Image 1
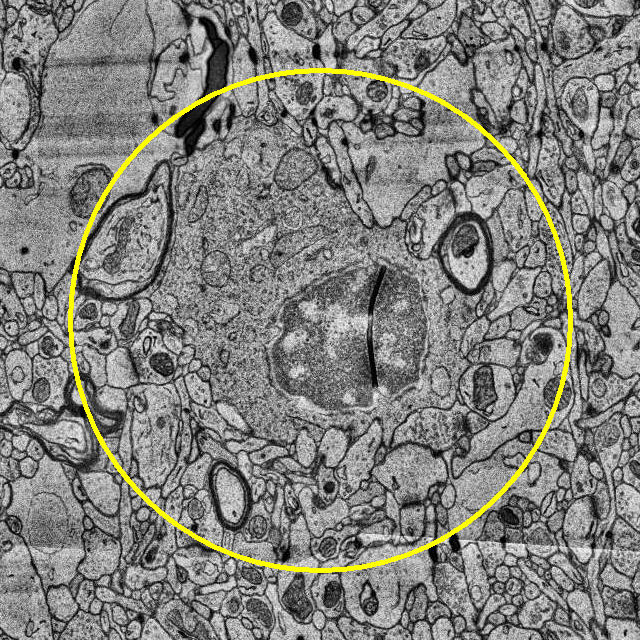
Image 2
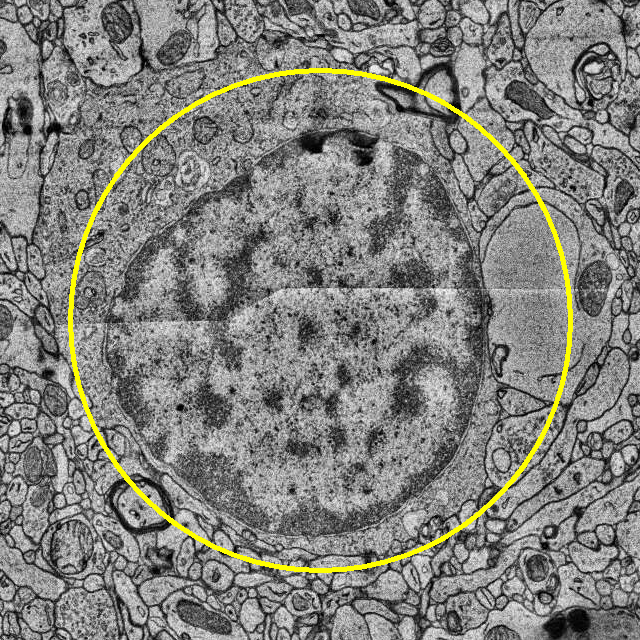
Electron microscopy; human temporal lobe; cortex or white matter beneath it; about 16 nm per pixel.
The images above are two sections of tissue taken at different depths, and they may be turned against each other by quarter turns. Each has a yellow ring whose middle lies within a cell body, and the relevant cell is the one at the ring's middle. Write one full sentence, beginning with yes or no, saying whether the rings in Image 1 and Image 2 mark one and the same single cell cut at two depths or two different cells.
Yes, a single cell lies behind both yellow marks.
